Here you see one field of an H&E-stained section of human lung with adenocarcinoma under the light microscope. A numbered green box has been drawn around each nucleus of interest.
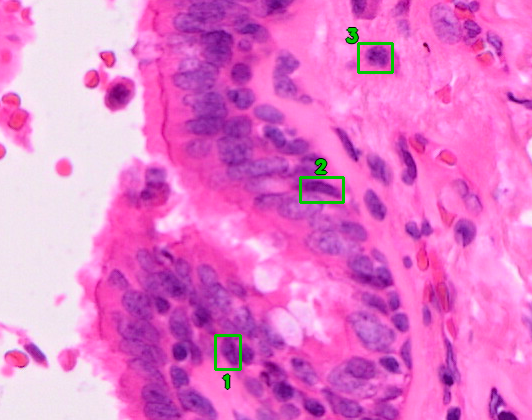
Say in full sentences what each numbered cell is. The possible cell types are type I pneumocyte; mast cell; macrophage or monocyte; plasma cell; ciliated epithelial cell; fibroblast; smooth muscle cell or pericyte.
Cells 1 and 2 are ciliated epithelial cells. Cell 3 is a plasma cell.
